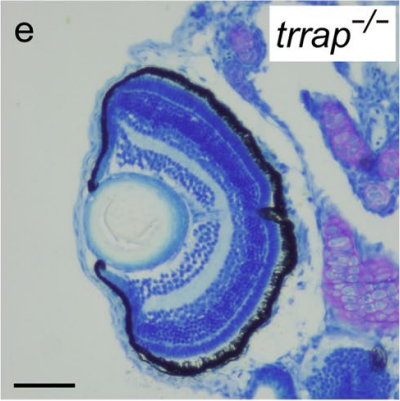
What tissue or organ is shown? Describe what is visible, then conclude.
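Laminated retinas. A cup of tissue curves around a pale round lens. The tissue is arranged in concentric bands of dark blue nuclei alternating with paler bands. A thin black pigmented line borders the outer edge of the tissue.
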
